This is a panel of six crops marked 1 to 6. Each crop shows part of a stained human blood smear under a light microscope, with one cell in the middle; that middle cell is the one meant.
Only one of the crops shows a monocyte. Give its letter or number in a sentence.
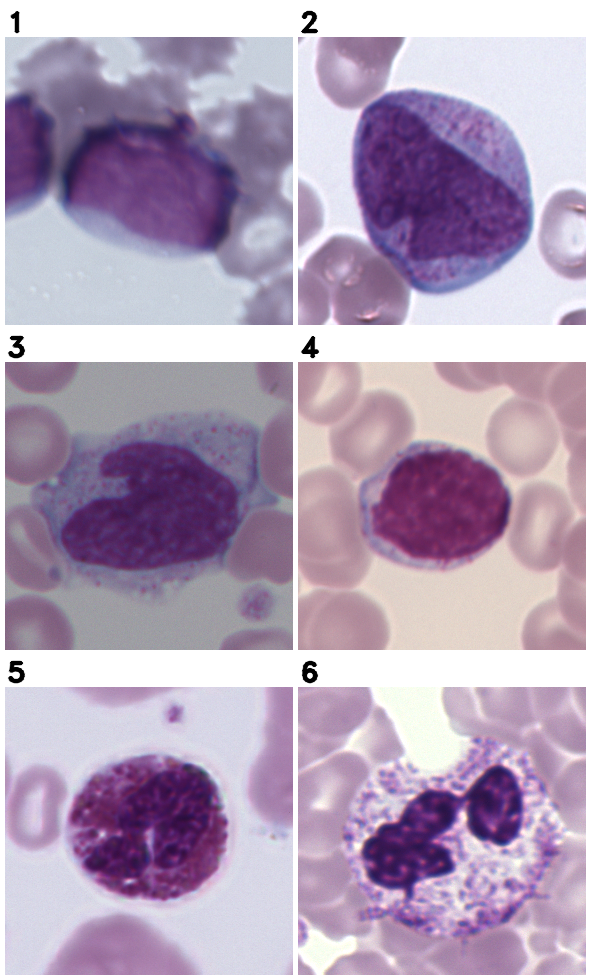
Crop 3 is the one in this set that shows a monocyte.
